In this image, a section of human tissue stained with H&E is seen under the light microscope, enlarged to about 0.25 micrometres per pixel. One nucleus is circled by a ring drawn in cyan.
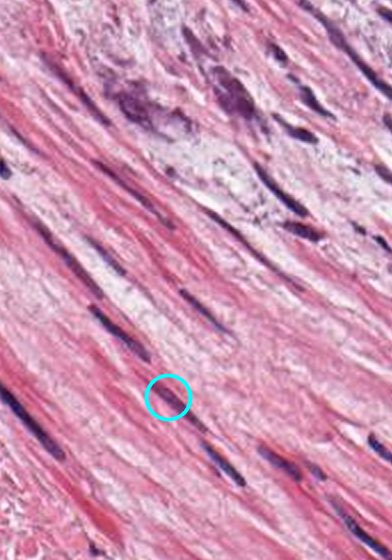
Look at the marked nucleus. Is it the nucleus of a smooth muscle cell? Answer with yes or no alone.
yes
